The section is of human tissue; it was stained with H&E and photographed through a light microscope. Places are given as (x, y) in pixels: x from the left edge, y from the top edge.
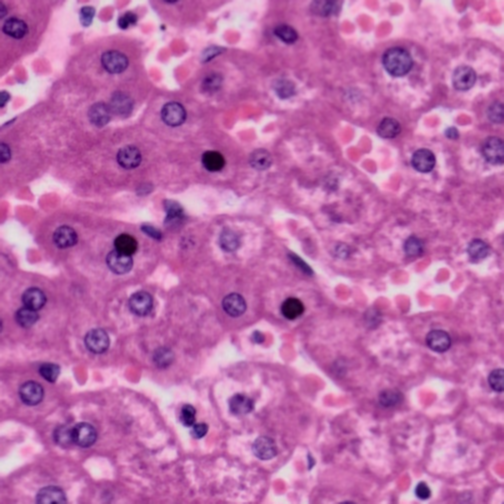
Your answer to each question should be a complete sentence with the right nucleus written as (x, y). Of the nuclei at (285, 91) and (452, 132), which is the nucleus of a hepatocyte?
It is the nucleus at (285, 91) that belongs to a hepatocyte.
